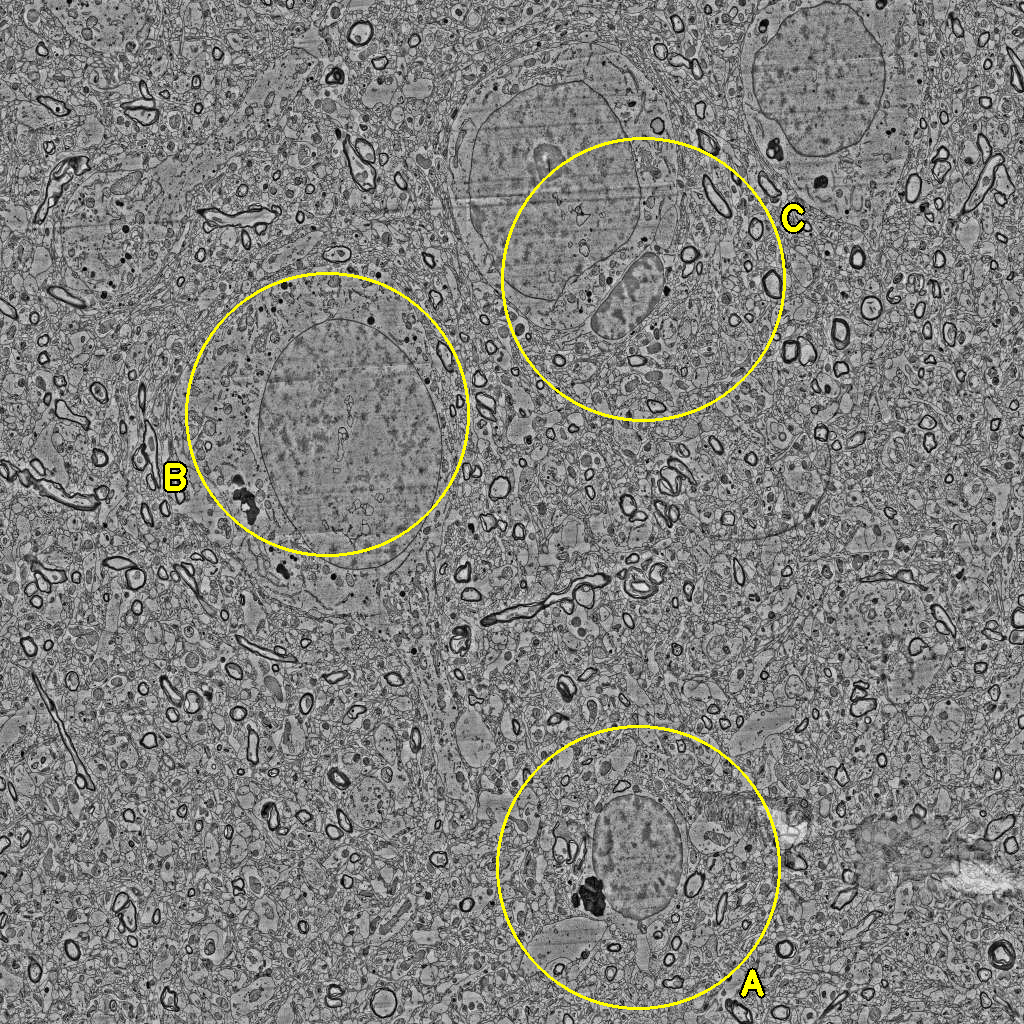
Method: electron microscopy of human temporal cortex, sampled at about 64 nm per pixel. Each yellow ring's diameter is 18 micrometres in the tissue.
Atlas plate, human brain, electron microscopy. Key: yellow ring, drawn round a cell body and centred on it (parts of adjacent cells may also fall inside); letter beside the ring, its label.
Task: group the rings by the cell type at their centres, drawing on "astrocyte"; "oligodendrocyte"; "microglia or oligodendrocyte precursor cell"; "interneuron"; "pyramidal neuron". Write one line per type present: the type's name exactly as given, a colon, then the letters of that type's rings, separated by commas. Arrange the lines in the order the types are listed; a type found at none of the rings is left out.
oligodendrocyte: A
microglia or oligodendrocyte precursor cell: C
pyramidal neuron: B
